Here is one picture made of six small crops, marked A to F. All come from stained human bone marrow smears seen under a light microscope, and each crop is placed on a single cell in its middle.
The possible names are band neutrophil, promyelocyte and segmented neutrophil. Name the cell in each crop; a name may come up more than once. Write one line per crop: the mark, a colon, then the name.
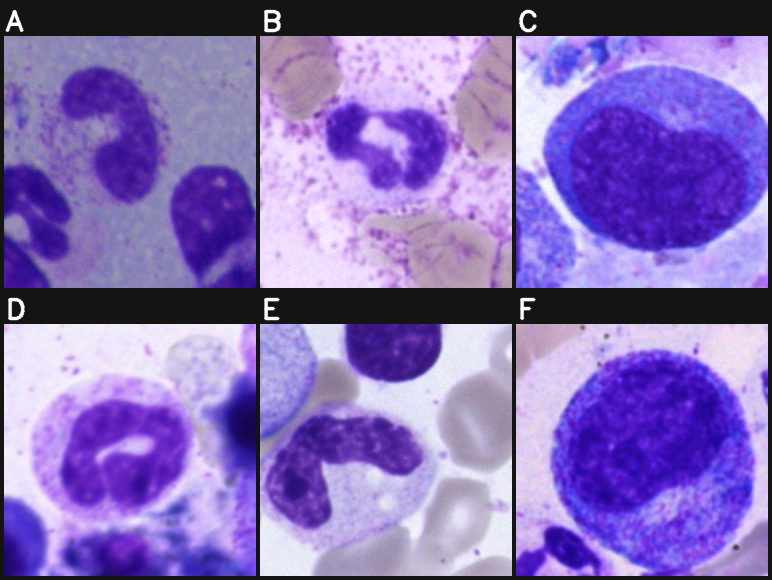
A: band neutrophil
B: segmented neutrophil
C: promyelocyte
D: band neutrophil
E: band neutrophil
F: promyelocyte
